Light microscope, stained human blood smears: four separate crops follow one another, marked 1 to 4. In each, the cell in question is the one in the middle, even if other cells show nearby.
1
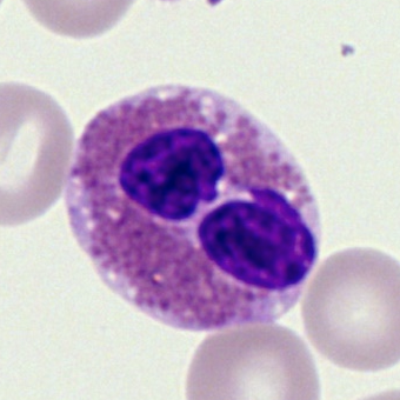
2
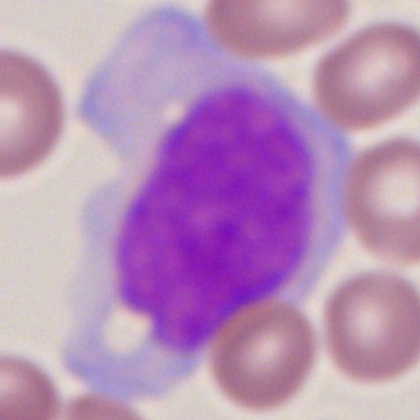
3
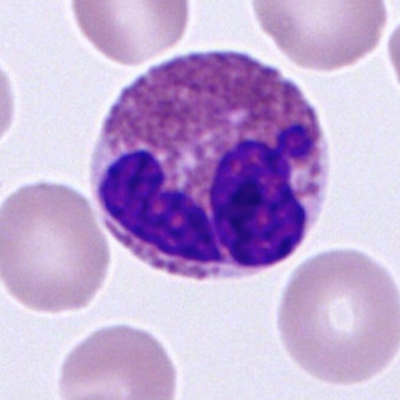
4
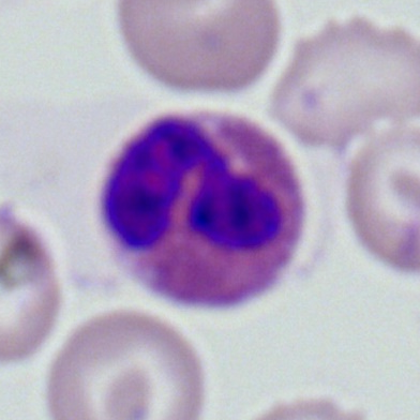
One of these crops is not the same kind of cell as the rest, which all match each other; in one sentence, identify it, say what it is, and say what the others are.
In crop 2 the central cell is a monocyte, whereas the other crops all contain eosinophils.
